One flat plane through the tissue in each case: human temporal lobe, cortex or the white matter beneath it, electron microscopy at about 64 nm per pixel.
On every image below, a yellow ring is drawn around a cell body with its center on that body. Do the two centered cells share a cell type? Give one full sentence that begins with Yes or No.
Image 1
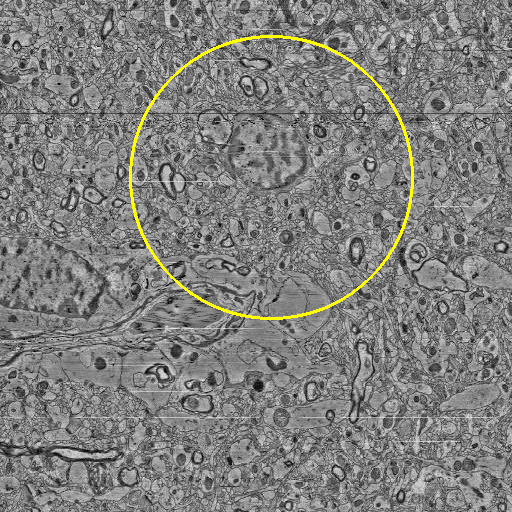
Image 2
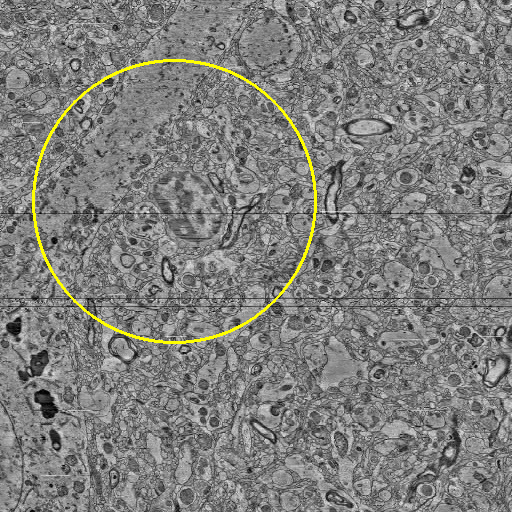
Yes, the centered cells in the two images are of a single cell type.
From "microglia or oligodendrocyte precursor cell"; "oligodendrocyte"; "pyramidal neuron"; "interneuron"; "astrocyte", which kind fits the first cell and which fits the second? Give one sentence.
Each of the ringed cells, first and second, is an oligodendrocyte.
